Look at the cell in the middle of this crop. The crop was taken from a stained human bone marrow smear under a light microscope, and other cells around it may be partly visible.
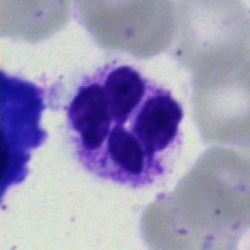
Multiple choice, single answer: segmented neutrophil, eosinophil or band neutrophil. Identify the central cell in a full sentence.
This crop has a segmented neutrophil at its centre.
